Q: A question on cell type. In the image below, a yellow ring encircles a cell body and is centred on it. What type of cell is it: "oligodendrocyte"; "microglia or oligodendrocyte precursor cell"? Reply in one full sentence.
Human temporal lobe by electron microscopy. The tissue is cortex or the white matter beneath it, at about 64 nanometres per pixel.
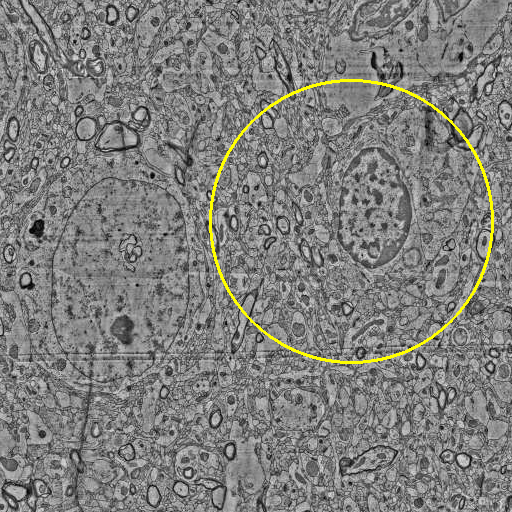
It is a microglial cell or oligodendrocyte precursor cell whose cell body sits at the centre of the yellow ring in the image.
